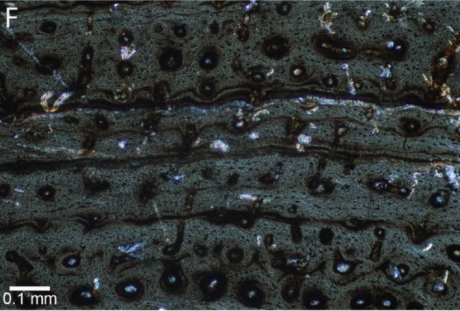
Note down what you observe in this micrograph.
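This is compact fossil bone under polarized light, with a dark grey, finely textured matrix. Small round vascular canals with dark rims and bright centres lie in rough horizontal rows. Thin dark lines run parallel across the field between these rows, giving the bone a layered look.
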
